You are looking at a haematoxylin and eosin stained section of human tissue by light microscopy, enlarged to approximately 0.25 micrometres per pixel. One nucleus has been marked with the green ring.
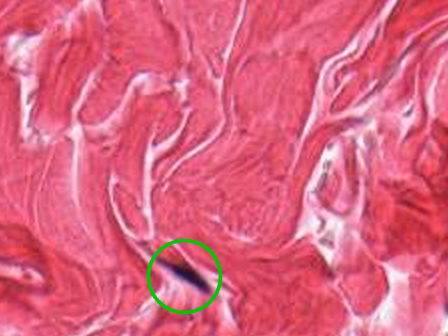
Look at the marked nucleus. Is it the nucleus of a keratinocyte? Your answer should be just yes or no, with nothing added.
no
